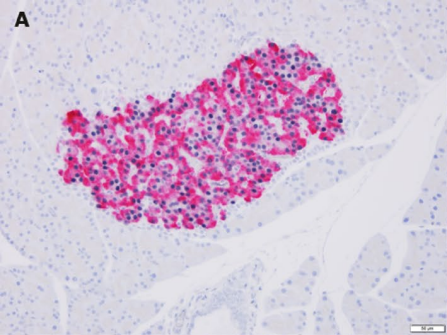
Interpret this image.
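A large pancreatic islet lies embedded in exocrine pancreas. The islet is an irregular, sharply bounded cluster of closely packed cells whose cytoplasm stains intensely pink, arranged in short cords and small groups. Numerous round, dark purple to black nuclei are scattered throughout the cluster, lying in the centres of the pink cells. Around the islet the exocrine tissue is pale, with small pale blue nuclei in a regular arrangement of glandular units. Pale, unstained strands of connective tissue cross the lower right of the field, separating lobules of the gland.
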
